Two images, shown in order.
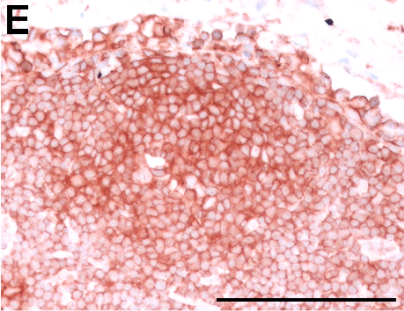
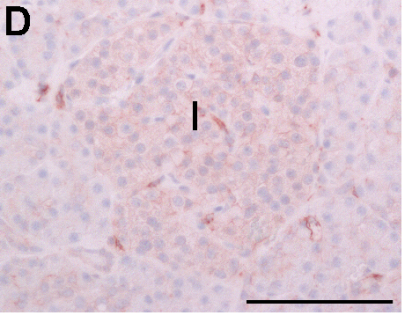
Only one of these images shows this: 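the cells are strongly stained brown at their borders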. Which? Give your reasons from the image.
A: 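The first image. First image: nearly every small round cell has a strong brown rim. Second image: the large polygonal cells show only faint brown with blue nuclei.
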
